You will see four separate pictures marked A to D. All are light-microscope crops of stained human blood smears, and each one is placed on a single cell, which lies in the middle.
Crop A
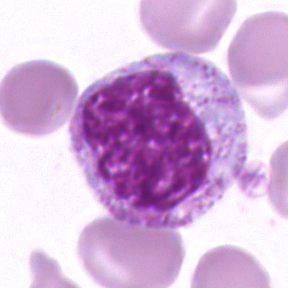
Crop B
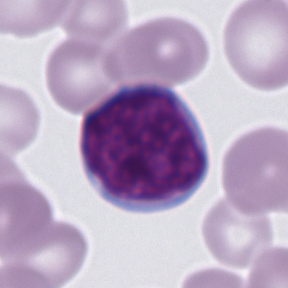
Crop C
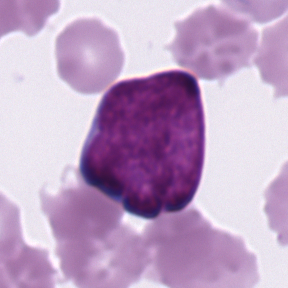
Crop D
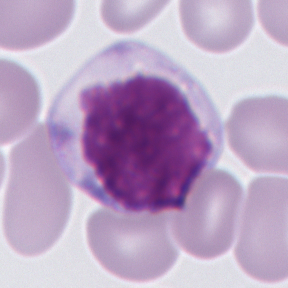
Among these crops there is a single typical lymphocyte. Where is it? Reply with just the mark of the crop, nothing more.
B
